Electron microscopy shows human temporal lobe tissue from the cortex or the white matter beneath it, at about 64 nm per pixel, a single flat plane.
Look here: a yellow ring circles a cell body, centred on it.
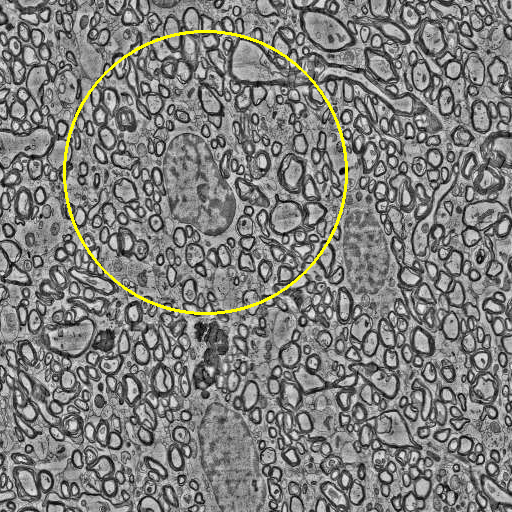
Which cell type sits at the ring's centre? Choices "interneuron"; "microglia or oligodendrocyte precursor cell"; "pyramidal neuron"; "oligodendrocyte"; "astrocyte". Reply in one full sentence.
The cell at the centre of the yellow ring in the picture is a microglial cell or oligodendrocyte precursor cell.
